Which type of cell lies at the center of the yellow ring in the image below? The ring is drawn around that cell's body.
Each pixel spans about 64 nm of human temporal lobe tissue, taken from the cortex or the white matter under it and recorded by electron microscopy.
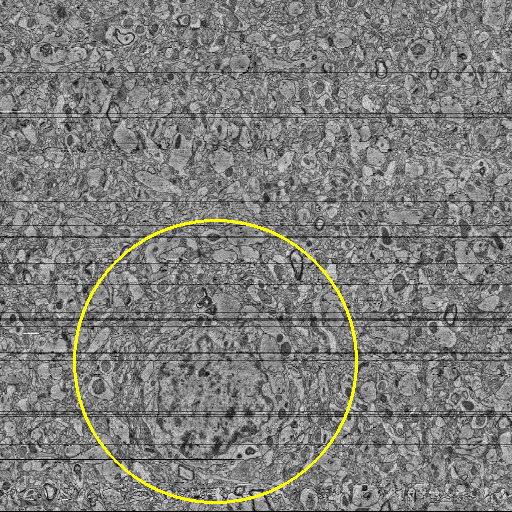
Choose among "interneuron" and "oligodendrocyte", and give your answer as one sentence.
The cell body at the center belongs to an interneuron.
